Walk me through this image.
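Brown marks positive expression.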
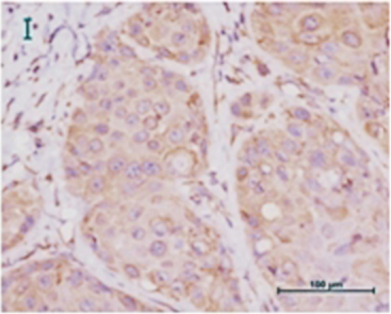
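Nests of large carcinoma cells with round, pale vesicular nuclei and prominent nucleoli, separated by thin strands of fibrous stroma containing spindle-shaped cells. Tumor cell cytoplasm is diffusely light brown, somewhat darker at the cell borders.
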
